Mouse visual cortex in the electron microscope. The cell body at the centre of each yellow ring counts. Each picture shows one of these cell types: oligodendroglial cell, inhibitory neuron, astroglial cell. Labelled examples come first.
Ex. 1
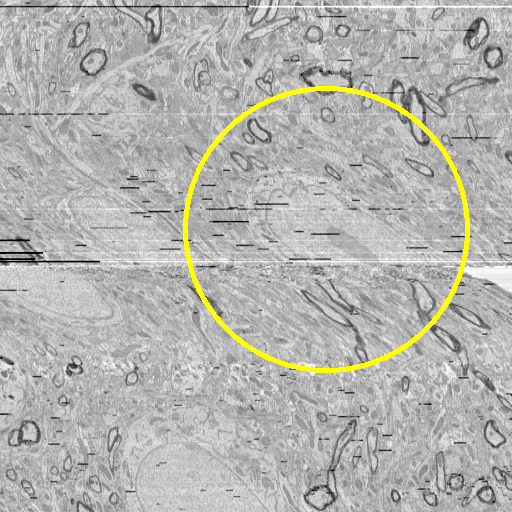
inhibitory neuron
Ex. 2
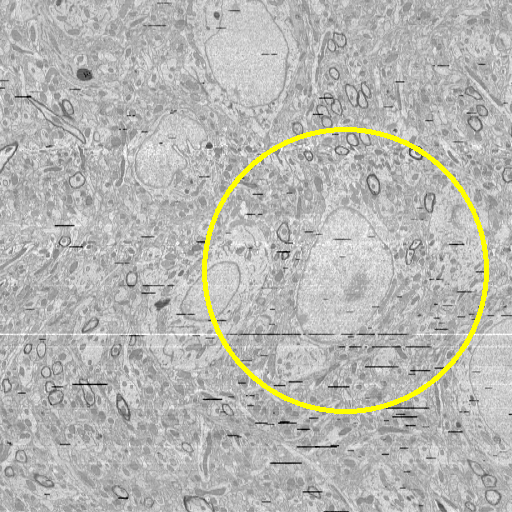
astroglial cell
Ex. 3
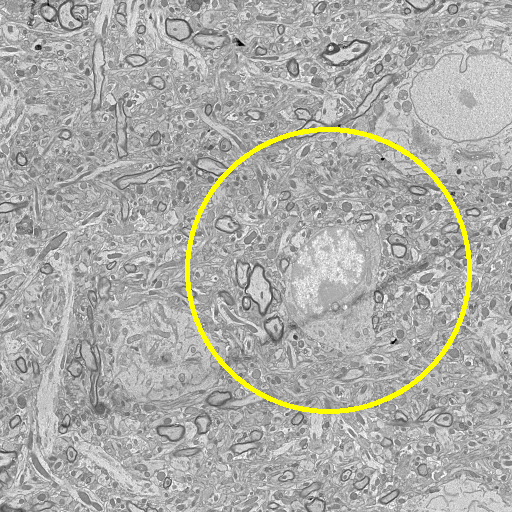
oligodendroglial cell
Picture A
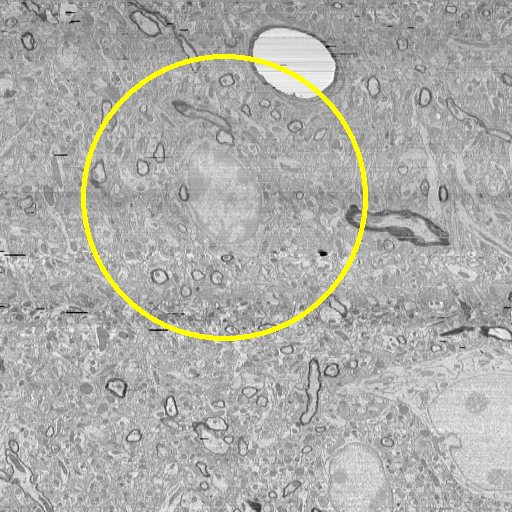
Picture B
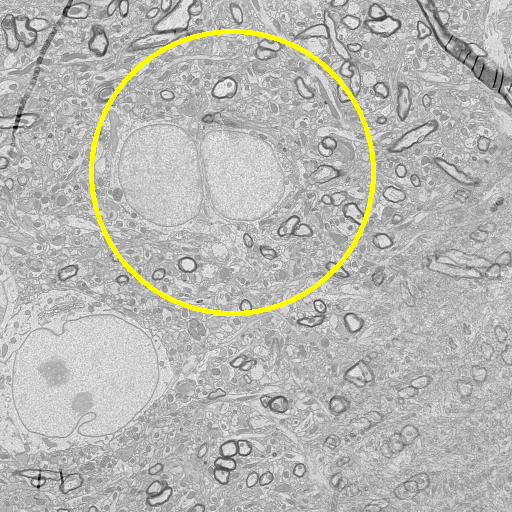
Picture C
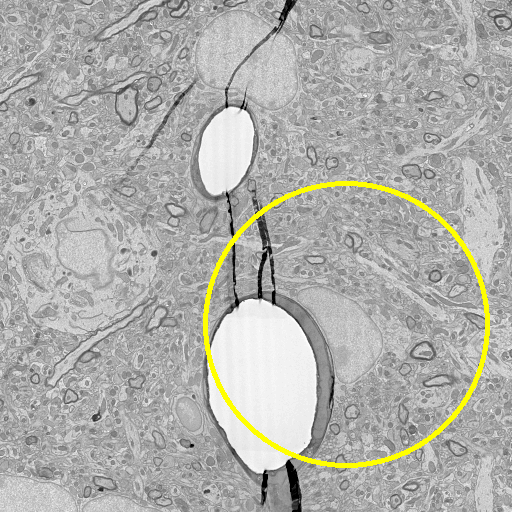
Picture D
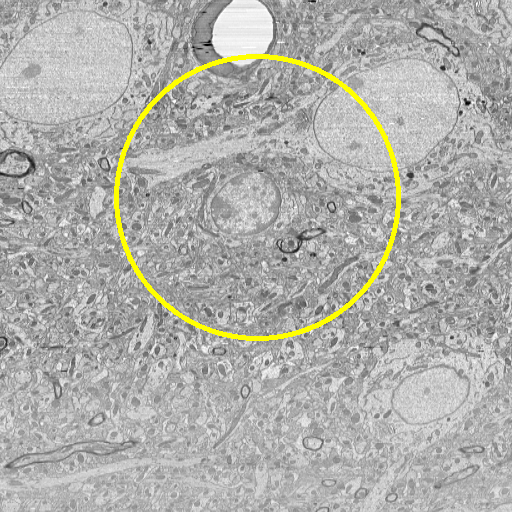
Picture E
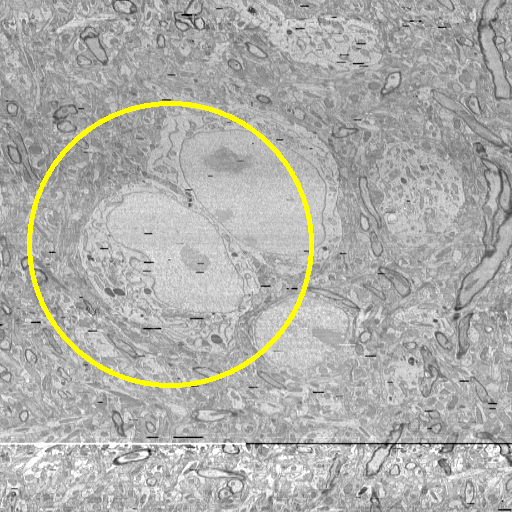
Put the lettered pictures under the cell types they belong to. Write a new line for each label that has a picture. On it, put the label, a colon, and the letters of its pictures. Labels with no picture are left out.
oligodendroglial cell: A, D
inhibitory neuron: E
astroglial cell: B, C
